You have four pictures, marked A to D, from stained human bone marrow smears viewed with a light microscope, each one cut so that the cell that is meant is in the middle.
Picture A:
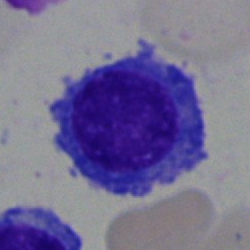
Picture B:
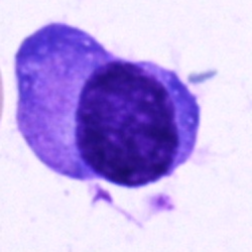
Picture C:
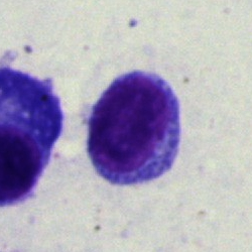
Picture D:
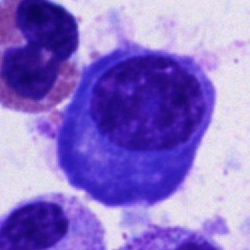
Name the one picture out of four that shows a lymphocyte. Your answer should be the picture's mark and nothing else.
C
